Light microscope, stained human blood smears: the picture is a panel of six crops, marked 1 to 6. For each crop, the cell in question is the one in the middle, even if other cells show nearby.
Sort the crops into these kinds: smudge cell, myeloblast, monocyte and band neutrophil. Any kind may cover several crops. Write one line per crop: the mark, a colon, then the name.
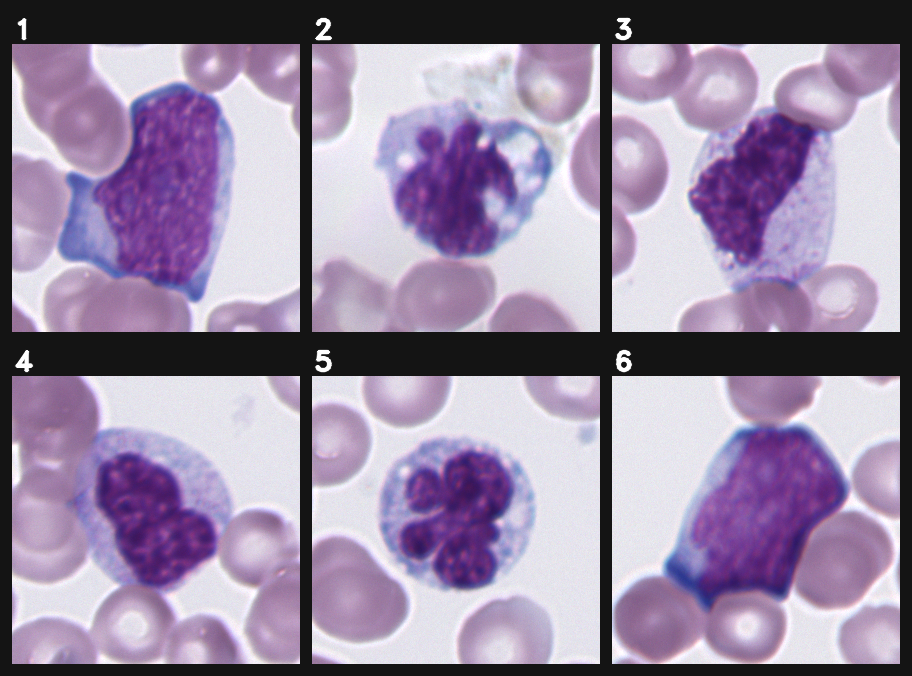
1: myeloblast
2: monocyte
3: band neutrophil
4: band neutrophil
5: monocyte
6: myeloblast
